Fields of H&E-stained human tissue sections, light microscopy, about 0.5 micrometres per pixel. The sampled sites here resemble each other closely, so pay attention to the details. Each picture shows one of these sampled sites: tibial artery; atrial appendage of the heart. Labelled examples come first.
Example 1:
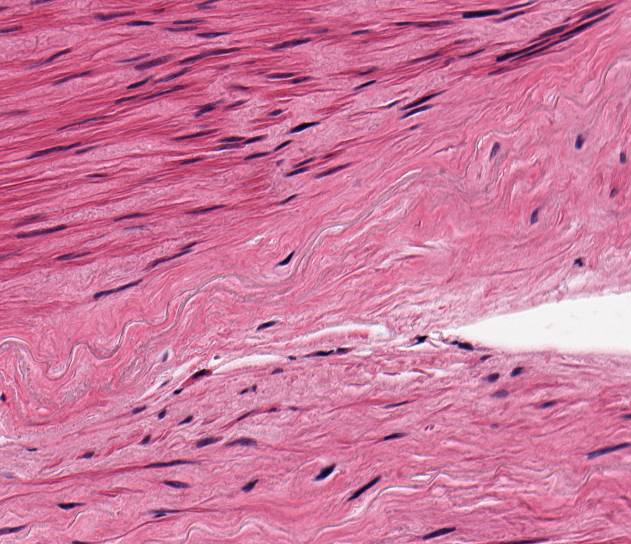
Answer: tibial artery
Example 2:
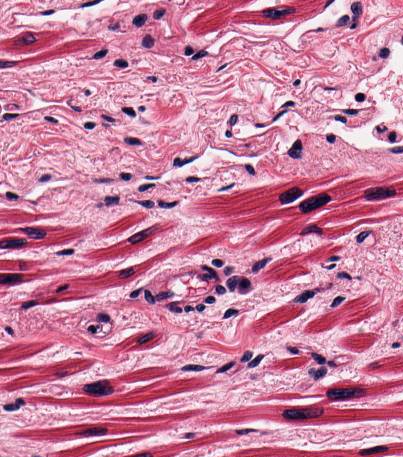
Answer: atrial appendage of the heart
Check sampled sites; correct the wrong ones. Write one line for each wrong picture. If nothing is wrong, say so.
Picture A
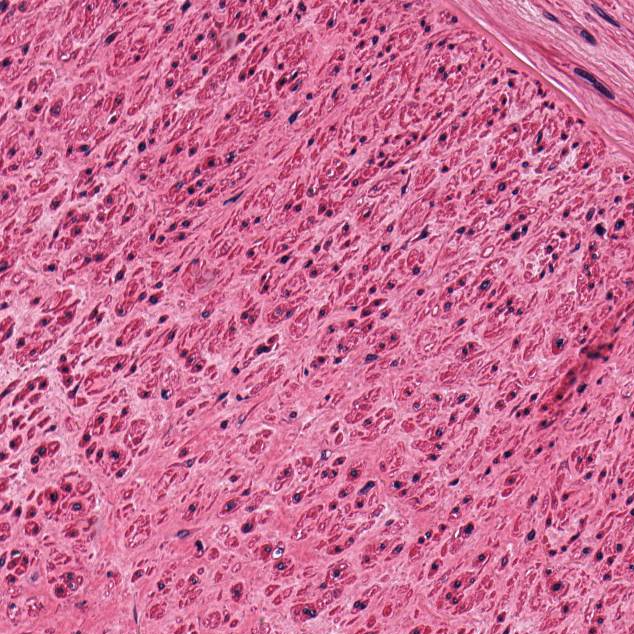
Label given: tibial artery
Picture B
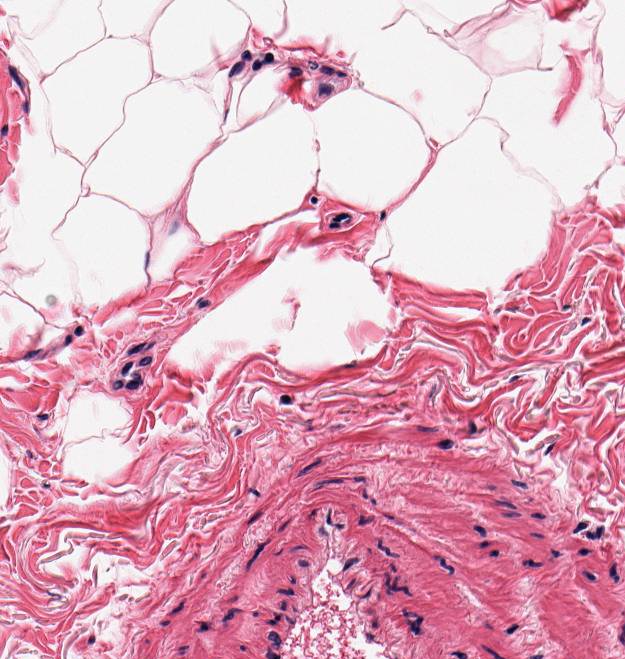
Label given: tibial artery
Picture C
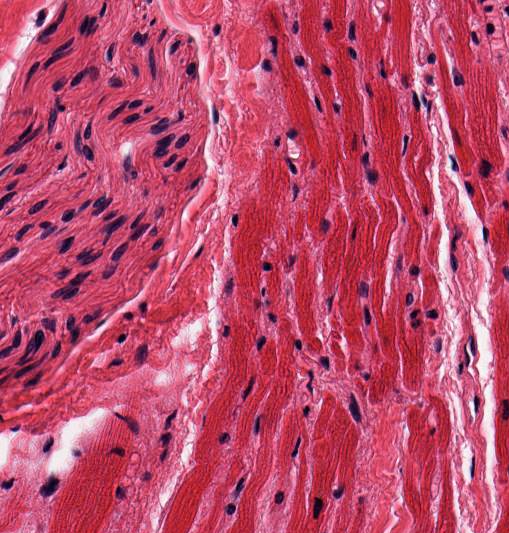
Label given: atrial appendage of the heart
All labels are correct.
